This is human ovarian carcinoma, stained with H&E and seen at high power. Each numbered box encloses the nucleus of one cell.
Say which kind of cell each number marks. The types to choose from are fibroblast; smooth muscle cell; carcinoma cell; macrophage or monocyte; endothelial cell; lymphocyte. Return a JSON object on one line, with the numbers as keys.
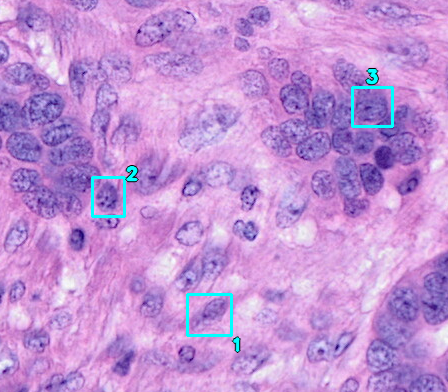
{"1": "fibroblast", "2": "macrophage or monocyte", "3": "carcinoma cell"}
